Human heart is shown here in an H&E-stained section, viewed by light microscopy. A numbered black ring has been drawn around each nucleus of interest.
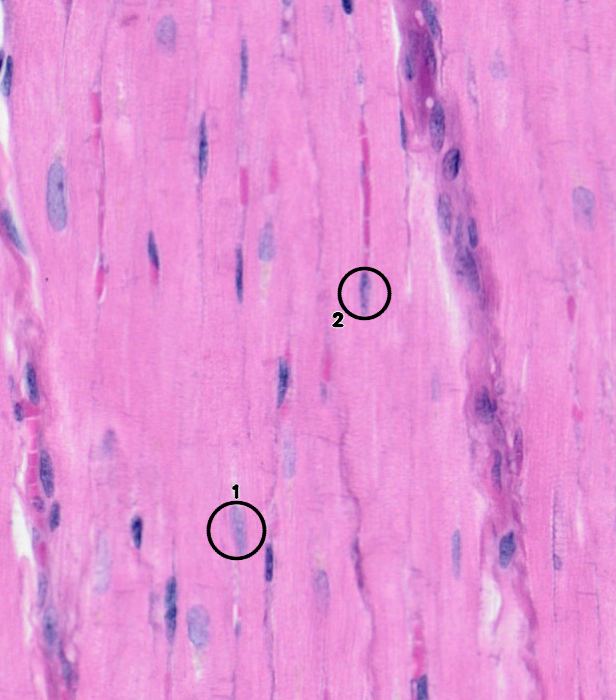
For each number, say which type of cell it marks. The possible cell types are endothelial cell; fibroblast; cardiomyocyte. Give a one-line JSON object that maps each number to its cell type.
{"1": "cardiomyocyte", "2": "endothelial cell"}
